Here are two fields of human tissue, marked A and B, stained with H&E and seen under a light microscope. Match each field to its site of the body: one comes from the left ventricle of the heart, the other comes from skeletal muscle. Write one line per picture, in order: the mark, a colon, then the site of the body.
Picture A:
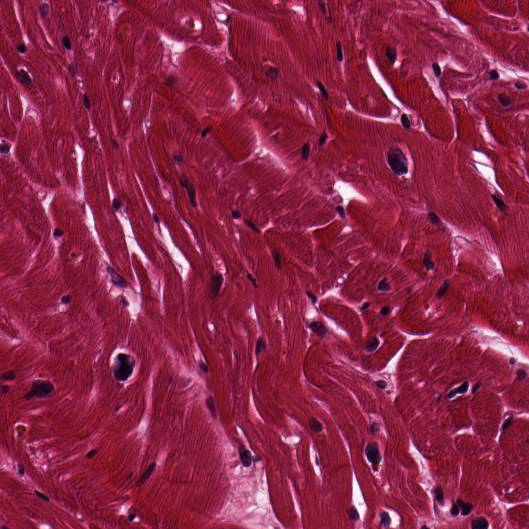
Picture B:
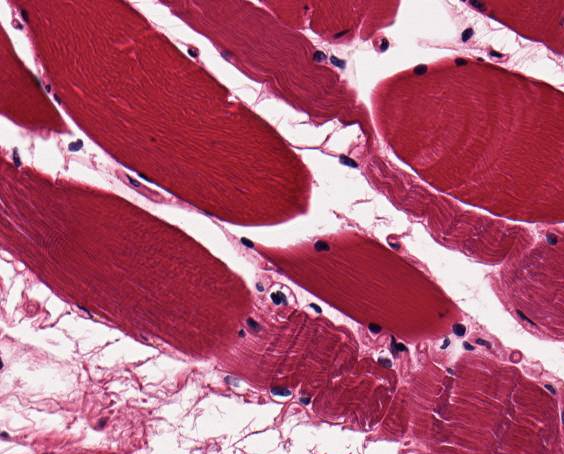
A: left ventricle of the heart
B: skeletal muscle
